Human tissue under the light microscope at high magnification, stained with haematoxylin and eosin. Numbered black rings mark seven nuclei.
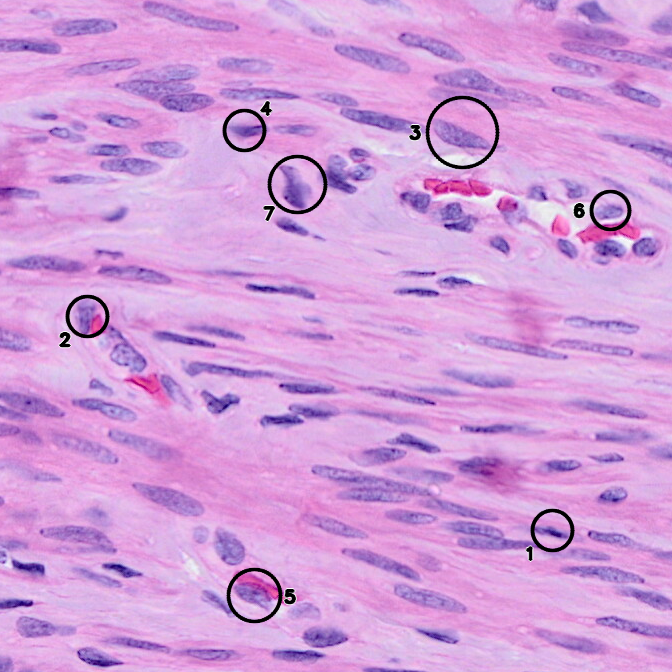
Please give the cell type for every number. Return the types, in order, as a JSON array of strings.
["smooth muscle cell", "endothelial cell", "smooth muscle cell", "smooth muscle cell", "endothelial cell", "endothelial cell", "fibroblast"]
